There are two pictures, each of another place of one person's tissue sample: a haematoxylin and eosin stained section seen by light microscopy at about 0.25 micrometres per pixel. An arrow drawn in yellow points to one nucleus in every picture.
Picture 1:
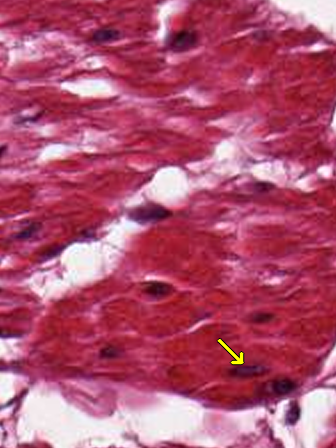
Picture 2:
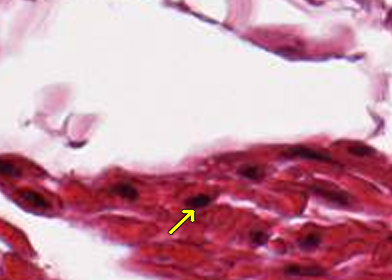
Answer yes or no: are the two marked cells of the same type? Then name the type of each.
Yes, both are smooth muscle cells.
